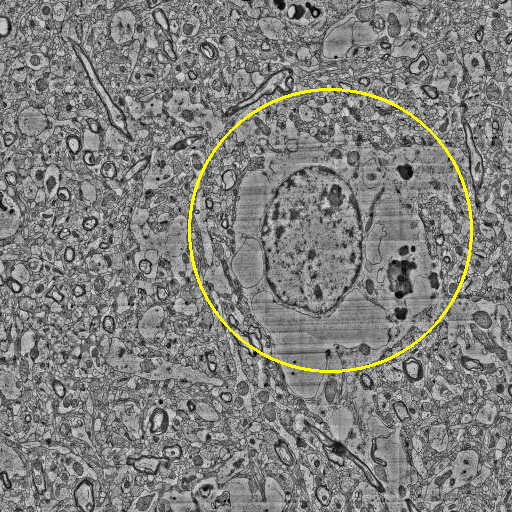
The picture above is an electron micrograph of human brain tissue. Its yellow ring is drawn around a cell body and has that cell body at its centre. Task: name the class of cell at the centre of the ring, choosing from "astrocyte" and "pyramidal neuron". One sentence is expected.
The ring surrounds the body of an astrocyte.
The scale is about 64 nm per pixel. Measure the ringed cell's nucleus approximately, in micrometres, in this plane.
Approximately 9 by 6 micrometers in this plane.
